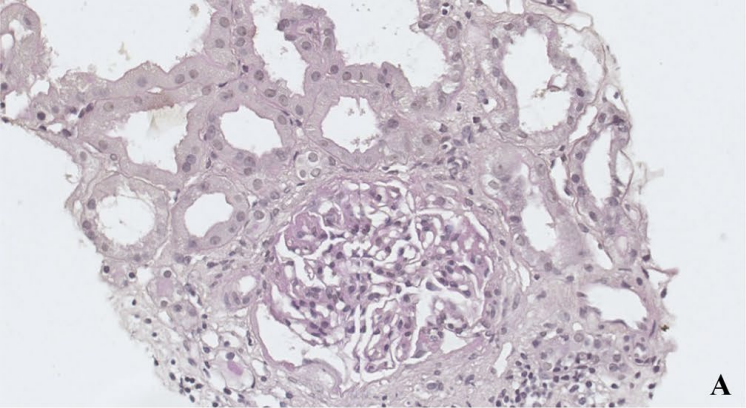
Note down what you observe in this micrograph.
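A single glomerulus sits in the lower middle of this kidney biopsy fragment, its capillary tuft lobulated and outlined by pink-purple loops, with a clear space between the tuft and the surrounding capsule. Around it lie cross-sectioned tubules lined by cuboidal epithelial cells with round dark nuclei and pale pink cytoplasm, their lumens open and empty. The tubular basement membranes show as thin pink lines. In the lower right corner the interstitium between tubules holds a small cluster of densely packed dark nuclei of inflammatory cells.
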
